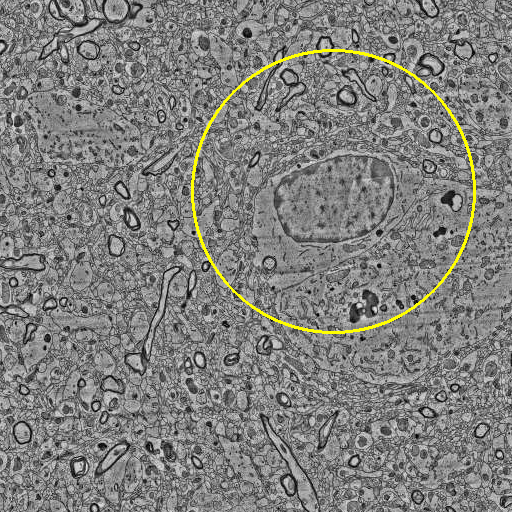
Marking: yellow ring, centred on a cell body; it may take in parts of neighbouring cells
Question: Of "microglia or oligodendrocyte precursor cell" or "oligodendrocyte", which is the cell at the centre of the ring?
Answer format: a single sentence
The ring surrounds the body of a microglial cell or oligodendrocyte precursor cell.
